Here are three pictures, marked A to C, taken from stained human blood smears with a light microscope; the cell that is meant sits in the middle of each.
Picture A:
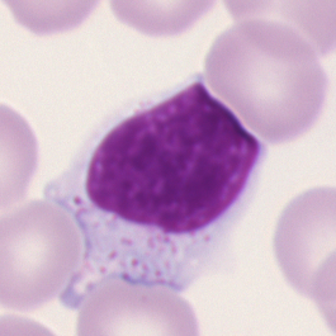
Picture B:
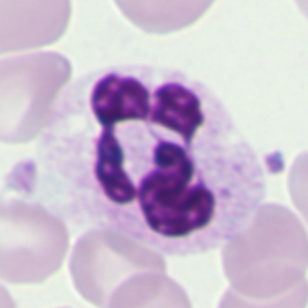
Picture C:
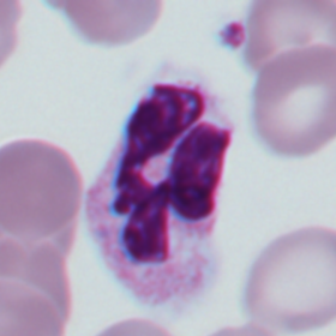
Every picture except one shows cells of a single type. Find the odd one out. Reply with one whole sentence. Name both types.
Picture A is the odd one out: it shows a large granular lymphocyte, while the others show segmented neutrophils.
